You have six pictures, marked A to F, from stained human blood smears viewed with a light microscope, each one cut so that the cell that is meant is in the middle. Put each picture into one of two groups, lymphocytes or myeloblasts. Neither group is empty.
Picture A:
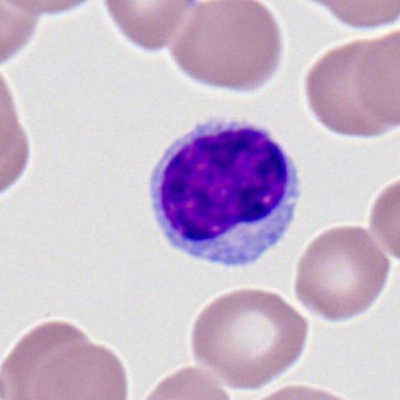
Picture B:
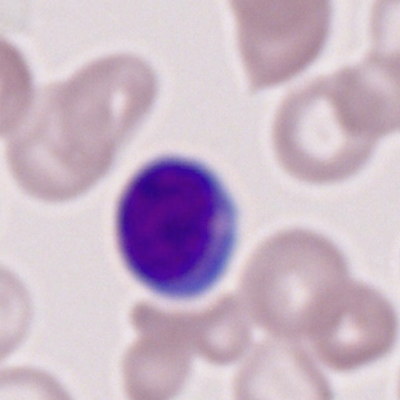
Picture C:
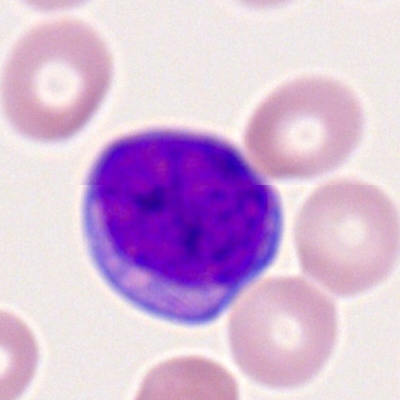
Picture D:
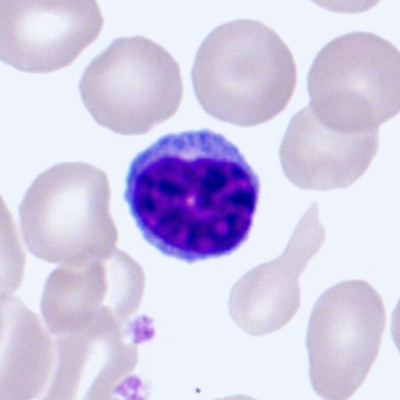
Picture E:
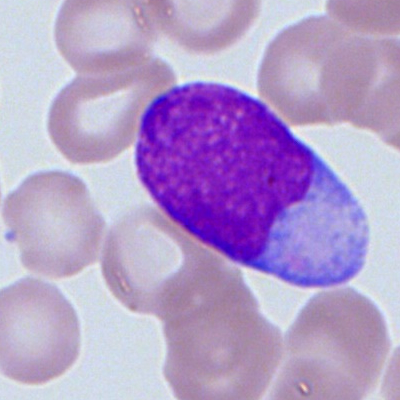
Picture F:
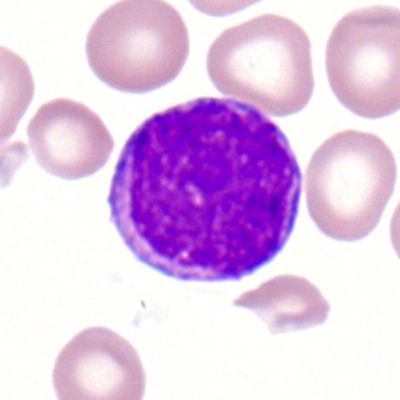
A: lymphocyte
B: lymphocyte
C: myeloblast
D: lymphocyte
E: myeloblast
F: myeloblast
